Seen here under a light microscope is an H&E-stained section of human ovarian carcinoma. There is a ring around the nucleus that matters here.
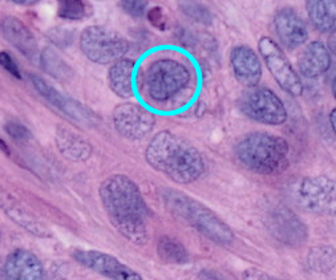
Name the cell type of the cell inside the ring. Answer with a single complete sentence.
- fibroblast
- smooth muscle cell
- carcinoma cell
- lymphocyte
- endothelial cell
The identity of the cell inside the ring is that of a carcinoma cell.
